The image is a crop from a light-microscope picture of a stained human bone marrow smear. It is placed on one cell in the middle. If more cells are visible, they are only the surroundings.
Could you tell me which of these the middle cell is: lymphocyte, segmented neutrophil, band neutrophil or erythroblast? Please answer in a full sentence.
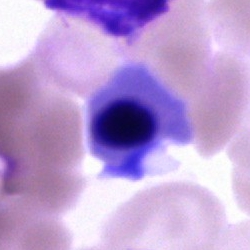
At the center of the crop sits an erythroblast.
